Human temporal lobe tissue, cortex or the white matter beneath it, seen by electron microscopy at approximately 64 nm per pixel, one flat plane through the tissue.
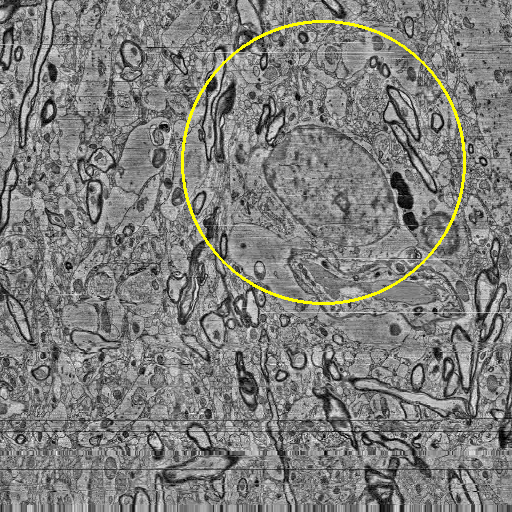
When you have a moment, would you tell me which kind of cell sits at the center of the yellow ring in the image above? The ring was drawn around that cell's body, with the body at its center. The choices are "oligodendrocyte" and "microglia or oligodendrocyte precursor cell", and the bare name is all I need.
microglia or oligodendrocyte precursor cell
